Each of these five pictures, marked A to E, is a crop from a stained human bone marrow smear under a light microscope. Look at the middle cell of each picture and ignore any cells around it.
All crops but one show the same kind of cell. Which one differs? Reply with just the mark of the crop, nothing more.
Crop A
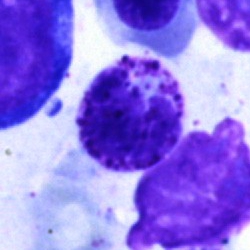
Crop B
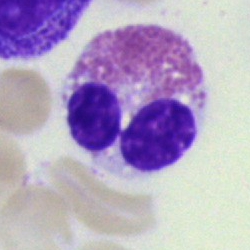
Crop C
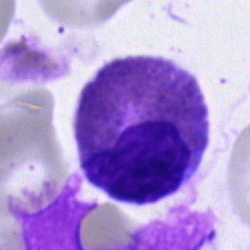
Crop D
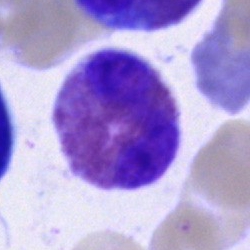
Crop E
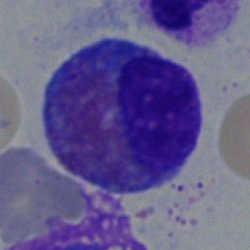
A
